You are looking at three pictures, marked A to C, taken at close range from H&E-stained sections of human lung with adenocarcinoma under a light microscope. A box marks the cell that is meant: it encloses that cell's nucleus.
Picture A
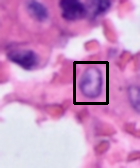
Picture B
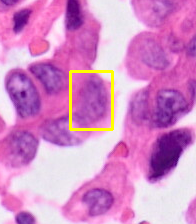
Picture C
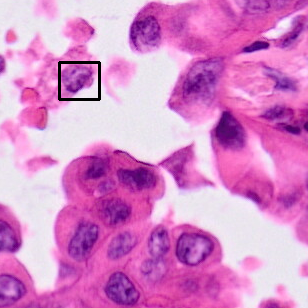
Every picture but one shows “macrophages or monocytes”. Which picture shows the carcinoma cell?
B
